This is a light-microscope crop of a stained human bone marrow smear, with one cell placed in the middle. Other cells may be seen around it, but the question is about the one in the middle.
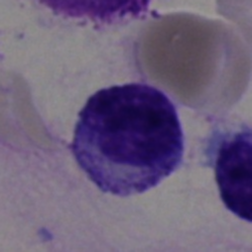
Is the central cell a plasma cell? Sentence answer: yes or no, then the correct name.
No, the central cell is not a plasma cell; it is a myelocyte instead.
